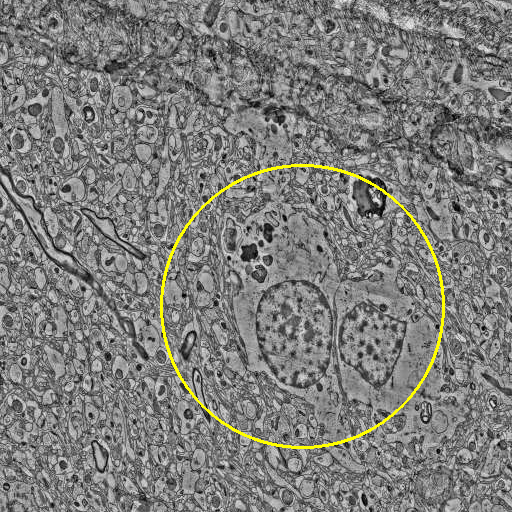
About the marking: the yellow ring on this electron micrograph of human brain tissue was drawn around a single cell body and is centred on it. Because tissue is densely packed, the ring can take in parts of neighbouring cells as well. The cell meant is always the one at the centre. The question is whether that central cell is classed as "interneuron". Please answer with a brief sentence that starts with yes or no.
No, the central cell belongs to another class.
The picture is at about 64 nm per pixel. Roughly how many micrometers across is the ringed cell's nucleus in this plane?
The ringed cell's nucleus measures approximately 7 by 5 micrometres in this plane.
